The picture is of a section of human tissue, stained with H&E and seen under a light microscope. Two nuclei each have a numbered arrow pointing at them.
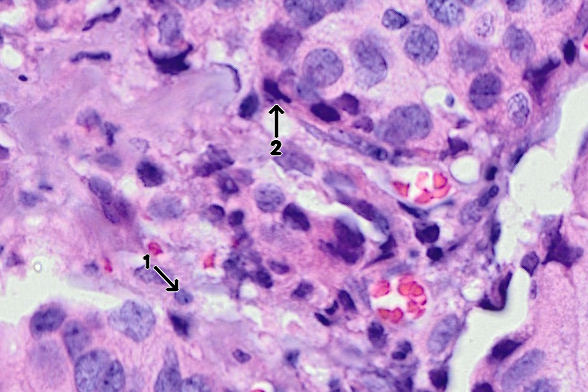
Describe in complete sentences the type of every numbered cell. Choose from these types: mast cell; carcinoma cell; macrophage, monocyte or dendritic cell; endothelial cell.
Cell 1 is a mast cell and cell 2 is a carcinoma cell.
